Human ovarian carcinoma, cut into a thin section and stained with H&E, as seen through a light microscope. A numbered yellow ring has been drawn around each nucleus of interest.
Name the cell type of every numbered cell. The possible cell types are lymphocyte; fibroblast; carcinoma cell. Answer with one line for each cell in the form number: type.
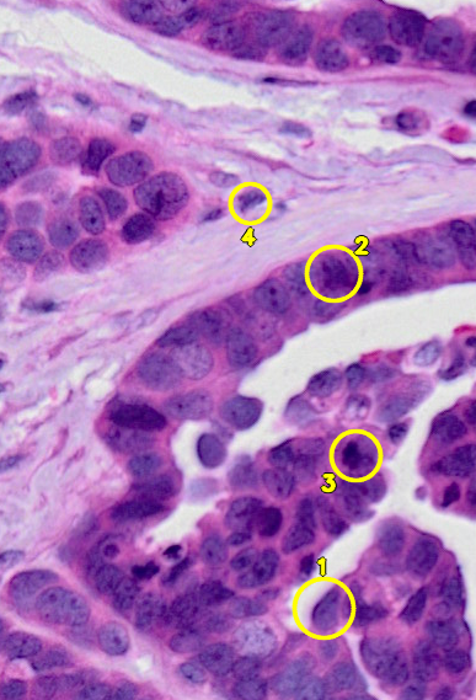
1: carcinoma cell
2: carcinoma cell
3: carcinoma cell
4: fibroblast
